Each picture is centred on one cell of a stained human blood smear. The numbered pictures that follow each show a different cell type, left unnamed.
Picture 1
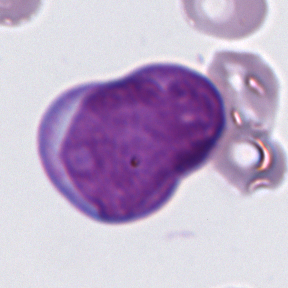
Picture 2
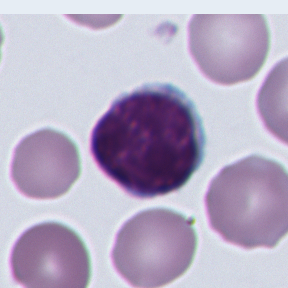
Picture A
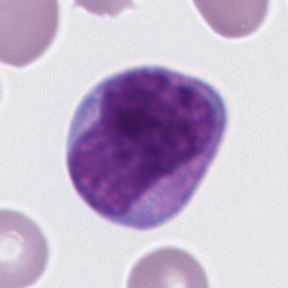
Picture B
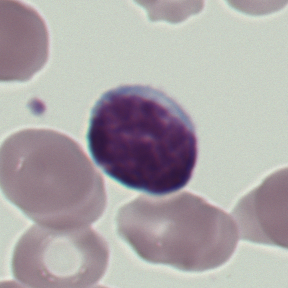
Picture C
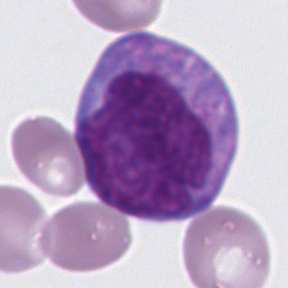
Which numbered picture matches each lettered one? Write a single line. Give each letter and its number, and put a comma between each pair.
A 1, B 2, C 1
